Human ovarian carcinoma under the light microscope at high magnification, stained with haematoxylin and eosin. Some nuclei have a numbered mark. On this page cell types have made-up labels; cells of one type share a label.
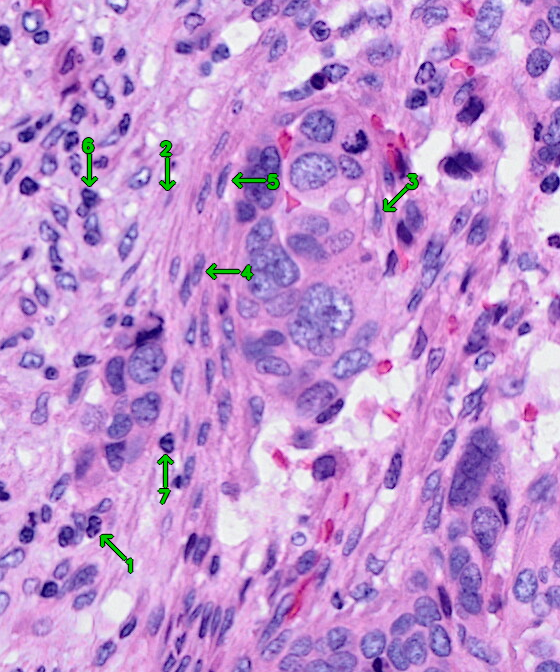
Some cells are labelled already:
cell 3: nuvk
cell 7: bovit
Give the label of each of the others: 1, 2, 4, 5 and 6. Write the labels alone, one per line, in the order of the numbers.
bovit
nuvk
nuvk
nuvk
bovit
